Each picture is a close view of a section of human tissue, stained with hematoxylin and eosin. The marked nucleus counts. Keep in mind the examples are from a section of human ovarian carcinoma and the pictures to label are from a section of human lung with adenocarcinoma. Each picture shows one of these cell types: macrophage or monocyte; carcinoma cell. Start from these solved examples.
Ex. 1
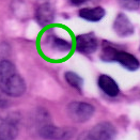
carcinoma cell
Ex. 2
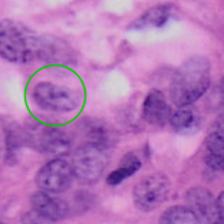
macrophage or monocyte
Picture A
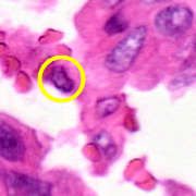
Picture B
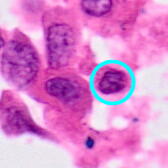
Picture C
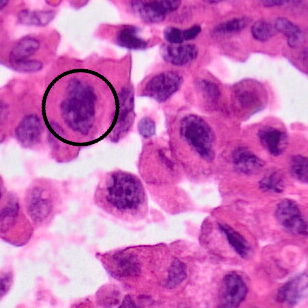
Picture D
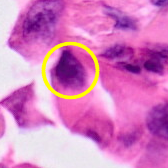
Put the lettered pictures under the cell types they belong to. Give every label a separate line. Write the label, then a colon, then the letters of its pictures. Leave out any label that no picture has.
macrophage or monocyte: A, B
carcinoma cell: C, D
